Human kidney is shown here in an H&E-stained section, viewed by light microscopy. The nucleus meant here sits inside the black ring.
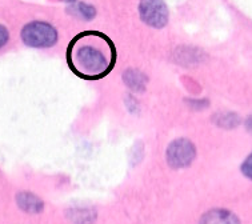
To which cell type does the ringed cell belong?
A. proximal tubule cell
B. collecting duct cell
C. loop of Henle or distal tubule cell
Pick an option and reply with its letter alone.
C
